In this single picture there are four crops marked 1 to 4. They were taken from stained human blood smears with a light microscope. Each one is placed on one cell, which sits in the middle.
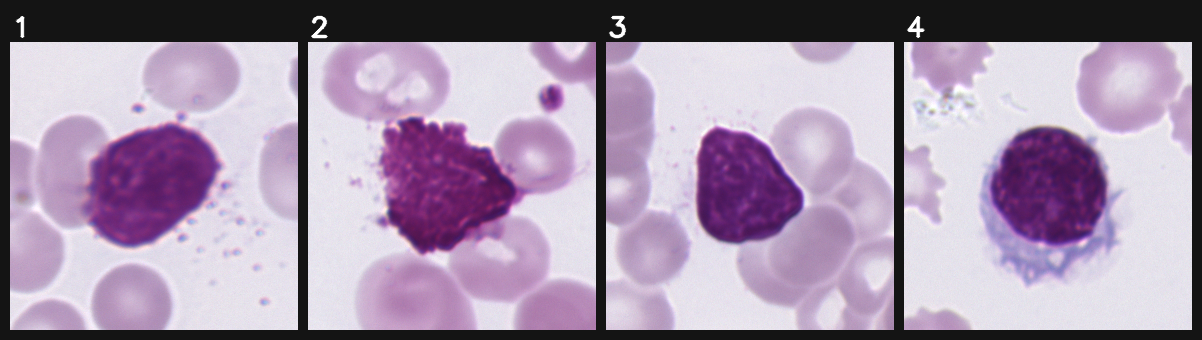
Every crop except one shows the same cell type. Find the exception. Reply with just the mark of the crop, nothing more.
4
